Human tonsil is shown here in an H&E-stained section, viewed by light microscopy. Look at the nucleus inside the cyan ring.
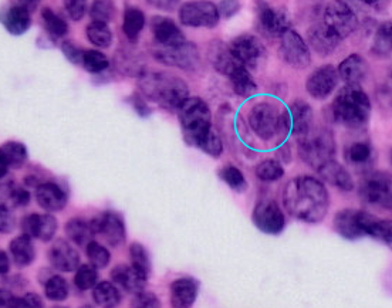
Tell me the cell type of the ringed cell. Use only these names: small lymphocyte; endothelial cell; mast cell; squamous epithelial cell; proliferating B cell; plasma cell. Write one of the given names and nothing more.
proliferating B cell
